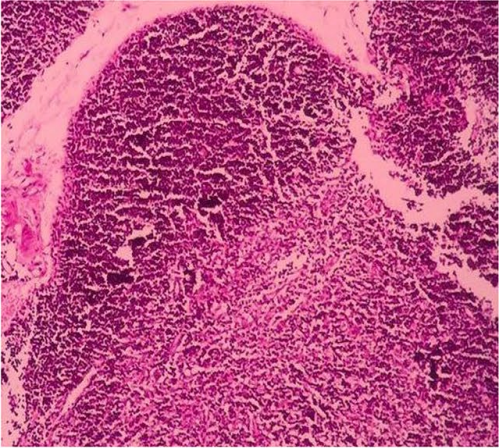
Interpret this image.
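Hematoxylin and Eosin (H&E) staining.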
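A rounded lobule is filled with densely packed small dark nuclei, darker toward its edge and paler and pinker toward its interior, where the cells lie less crowded among more eosinophilic stroma, with thin pink septa at its border. The dense outer part and the paler inner part fit the cortex and medulla of a thymic lobule, without evident necrosis or inflammatory infiltrates.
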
